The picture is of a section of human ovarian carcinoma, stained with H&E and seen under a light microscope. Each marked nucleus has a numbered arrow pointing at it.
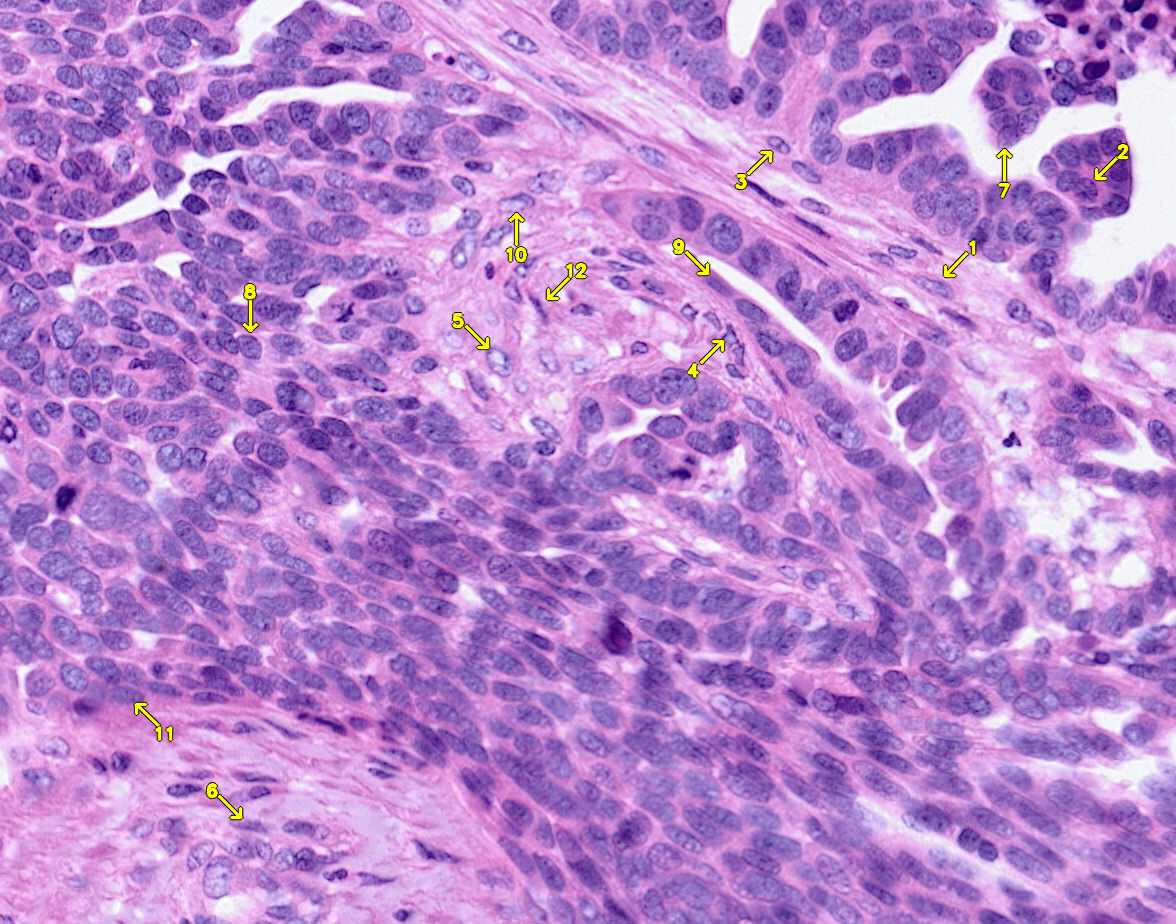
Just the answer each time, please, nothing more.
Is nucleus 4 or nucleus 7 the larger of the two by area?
7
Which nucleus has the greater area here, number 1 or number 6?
1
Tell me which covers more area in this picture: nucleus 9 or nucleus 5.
5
